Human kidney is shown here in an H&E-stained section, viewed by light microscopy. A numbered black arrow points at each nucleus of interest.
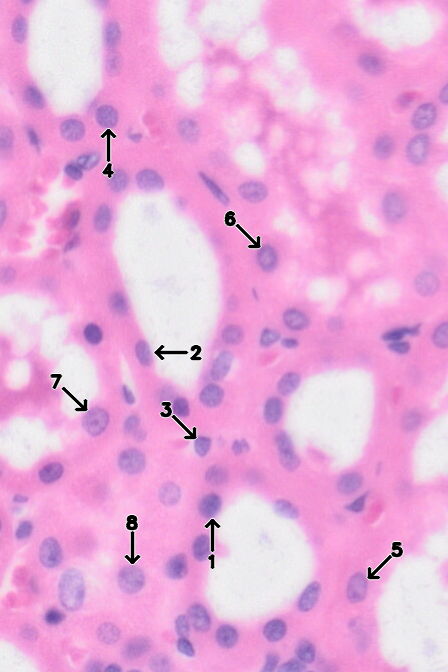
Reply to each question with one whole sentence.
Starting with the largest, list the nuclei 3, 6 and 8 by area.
The nuclei rank 8, 6, 3, from largest to smallest.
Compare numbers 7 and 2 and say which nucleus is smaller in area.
It is nucleus 2; nucleus 7 has about 1.5 times its area.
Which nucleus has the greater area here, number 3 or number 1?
It is nucleus 1, which covers about 1.5 times the area of nucleus 3.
